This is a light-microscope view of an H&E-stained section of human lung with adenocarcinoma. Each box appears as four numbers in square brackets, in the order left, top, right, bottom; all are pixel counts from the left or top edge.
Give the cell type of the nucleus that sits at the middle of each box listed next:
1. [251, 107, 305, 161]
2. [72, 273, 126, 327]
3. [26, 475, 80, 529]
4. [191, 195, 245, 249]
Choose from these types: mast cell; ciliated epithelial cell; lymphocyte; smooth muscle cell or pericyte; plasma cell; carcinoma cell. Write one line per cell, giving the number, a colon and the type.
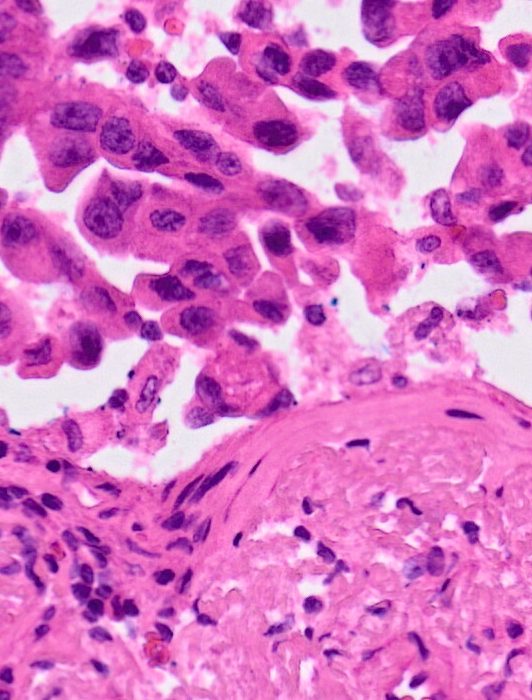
1: carcinoma cell
2: carcinoma cell
3: lymphocyte
4: carcinoma cell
